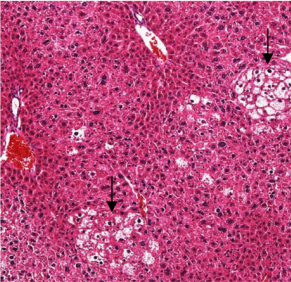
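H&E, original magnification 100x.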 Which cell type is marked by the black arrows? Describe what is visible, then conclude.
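The arrows mark small rounded groups of cells with pale, bubbly cytoplasm. Surrounding cells have dense pink cytoplasm and central round nuclei. The answer: lipid rich hepatocytes.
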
